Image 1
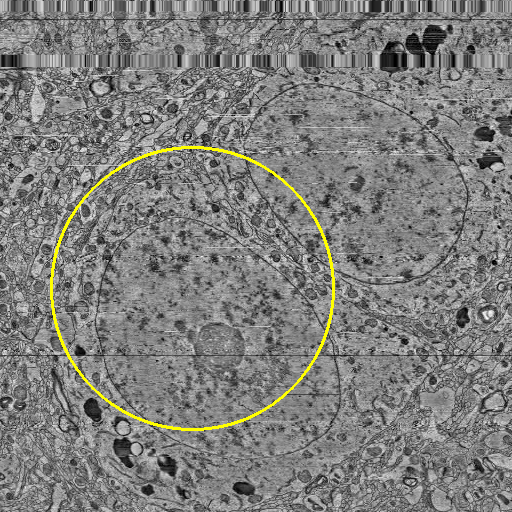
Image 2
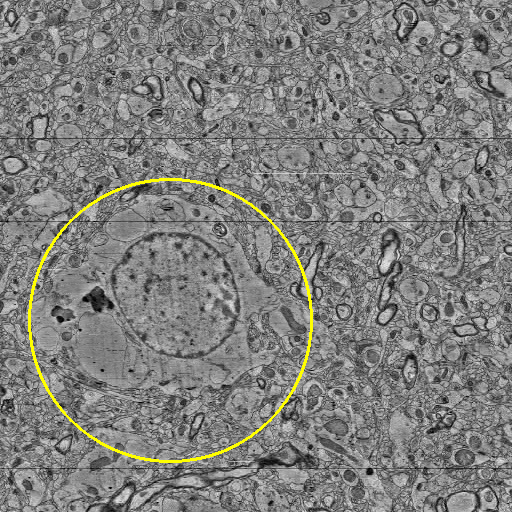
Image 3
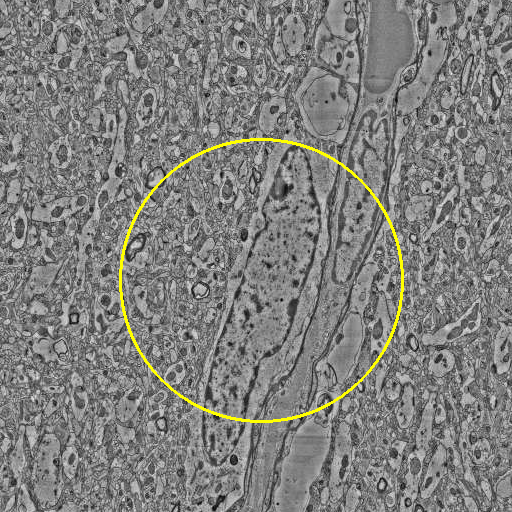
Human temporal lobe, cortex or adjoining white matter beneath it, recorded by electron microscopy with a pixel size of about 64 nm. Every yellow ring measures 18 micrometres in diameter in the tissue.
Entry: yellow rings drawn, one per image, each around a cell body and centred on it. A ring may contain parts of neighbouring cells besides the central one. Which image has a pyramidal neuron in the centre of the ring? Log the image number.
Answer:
1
